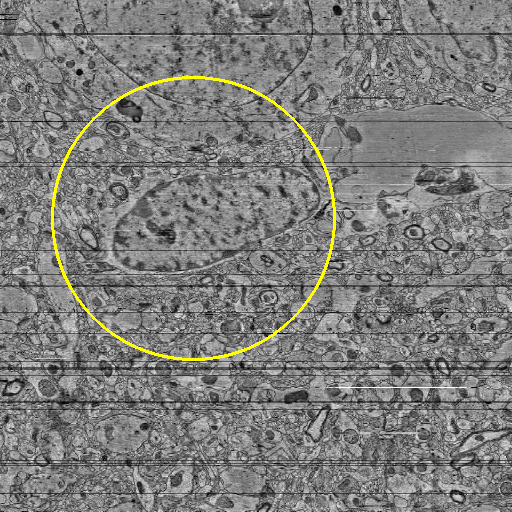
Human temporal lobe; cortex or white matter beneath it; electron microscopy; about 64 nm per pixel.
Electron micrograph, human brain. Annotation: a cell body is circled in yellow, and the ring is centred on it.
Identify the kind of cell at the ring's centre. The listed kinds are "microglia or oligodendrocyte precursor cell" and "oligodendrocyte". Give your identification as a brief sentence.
The circled cell body is that of a microglial cell or oligodendrocyte precursor cell.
